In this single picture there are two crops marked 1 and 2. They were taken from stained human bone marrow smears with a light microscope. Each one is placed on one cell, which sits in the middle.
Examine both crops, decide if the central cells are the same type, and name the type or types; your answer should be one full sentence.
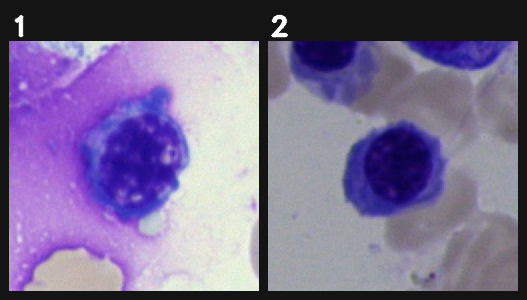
Yes, the middle cells in both crops are indeed erythroblasts.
